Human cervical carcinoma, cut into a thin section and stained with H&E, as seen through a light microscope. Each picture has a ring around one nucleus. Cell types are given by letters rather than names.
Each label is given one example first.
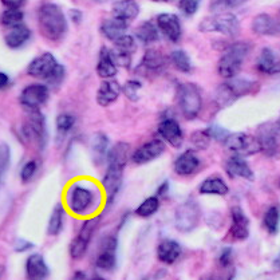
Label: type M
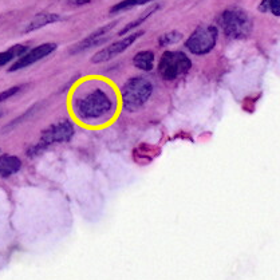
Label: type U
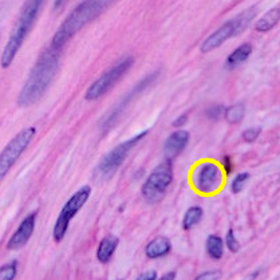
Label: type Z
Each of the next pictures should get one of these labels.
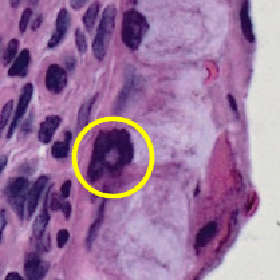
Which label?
type U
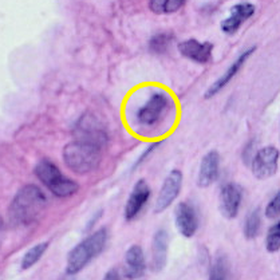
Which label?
type U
